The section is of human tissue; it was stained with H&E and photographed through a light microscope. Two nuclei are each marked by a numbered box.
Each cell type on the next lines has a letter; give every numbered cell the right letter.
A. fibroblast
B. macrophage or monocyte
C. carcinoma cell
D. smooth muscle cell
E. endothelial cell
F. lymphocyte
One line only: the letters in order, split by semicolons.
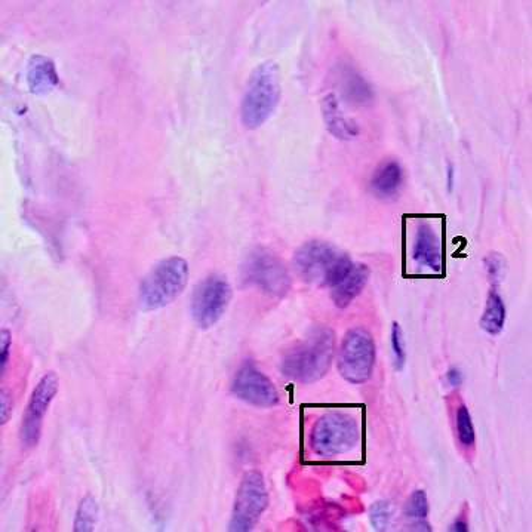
E; A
